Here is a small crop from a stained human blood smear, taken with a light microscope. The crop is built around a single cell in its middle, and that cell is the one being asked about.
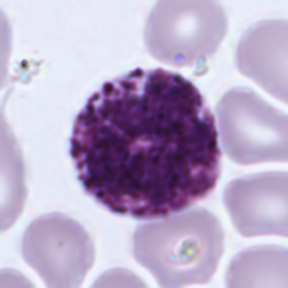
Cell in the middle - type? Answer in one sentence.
Located at the centre of the crop is a basophil.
